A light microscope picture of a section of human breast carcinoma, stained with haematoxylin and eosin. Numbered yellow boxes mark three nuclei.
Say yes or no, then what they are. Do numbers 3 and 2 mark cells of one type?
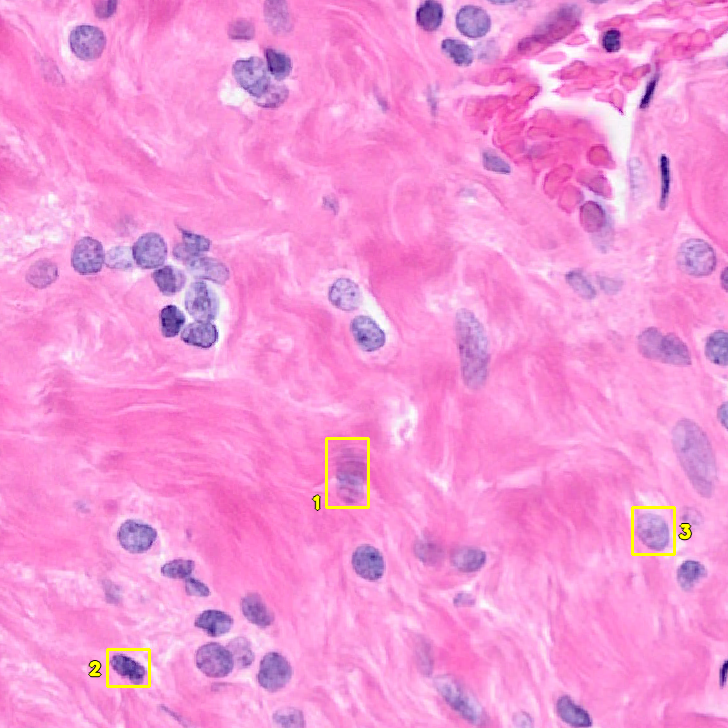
No, what is marked as cell 3 is a carcinoma cell, and what is marked as cell 2 is a lymphocyte.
